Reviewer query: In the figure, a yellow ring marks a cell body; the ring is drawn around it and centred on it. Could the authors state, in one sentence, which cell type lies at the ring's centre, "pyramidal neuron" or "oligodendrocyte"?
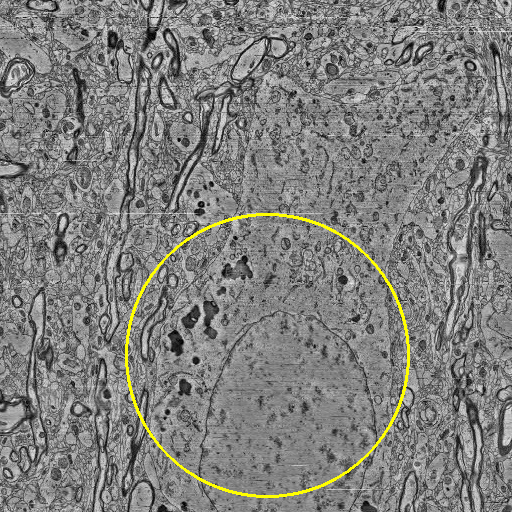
The ring is centred on a pyramidal neuron.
